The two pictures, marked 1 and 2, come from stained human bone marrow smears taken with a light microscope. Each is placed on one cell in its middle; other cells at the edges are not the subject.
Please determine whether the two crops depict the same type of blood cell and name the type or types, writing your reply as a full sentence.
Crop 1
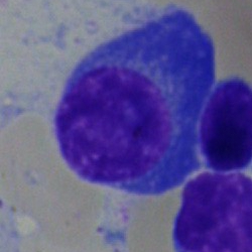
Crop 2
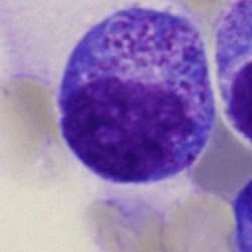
No, crop 1 carries a plasma cell at its centre, and crop 2 carries a promyelocyte.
